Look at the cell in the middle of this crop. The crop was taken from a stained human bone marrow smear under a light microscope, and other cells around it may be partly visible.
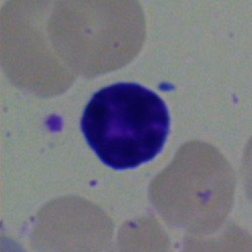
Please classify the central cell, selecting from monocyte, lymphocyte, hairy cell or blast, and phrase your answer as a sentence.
The cell found in the middle of this crop is a lymphocyte.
